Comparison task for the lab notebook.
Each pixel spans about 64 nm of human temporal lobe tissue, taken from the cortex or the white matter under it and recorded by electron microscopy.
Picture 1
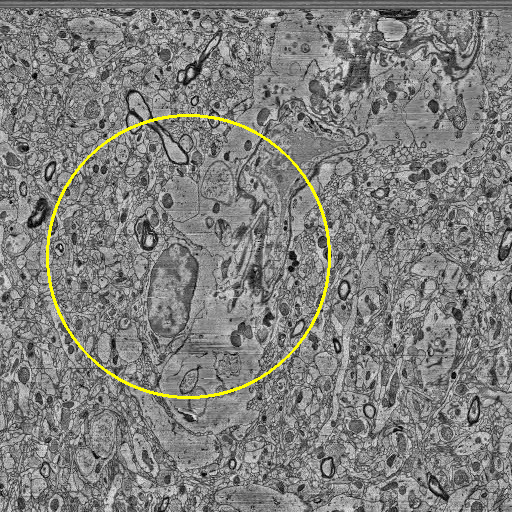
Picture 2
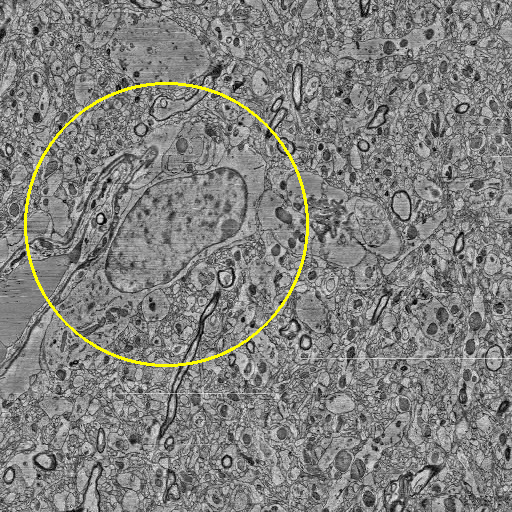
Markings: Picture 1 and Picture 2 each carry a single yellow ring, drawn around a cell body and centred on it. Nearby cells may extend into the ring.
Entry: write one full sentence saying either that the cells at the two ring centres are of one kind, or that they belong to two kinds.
The cells sitting at the ring centres in Picture 1 and Picture 2 are of one kind.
